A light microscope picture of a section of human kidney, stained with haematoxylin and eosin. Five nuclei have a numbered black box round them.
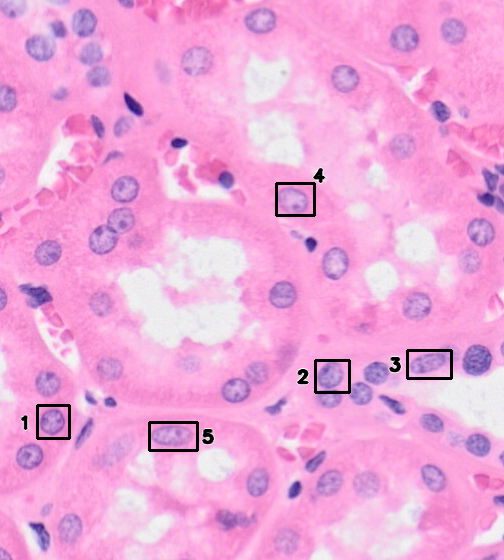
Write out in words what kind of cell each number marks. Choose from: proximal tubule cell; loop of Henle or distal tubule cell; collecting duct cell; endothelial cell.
Cells 1, 4 and 5 are proximal tubule cells. Cells 2 and 3 are collecting duct cells.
